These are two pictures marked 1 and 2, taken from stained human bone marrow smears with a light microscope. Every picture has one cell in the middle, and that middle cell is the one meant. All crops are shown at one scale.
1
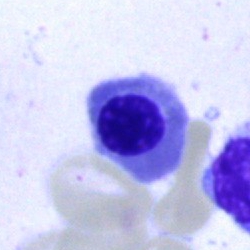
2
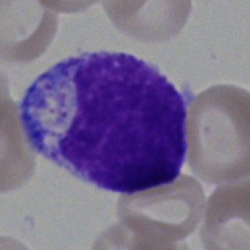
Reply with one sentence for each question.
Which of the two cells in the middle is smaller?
It is the cell in crop 1; the cell in crop 2 has about 2.5 times its area.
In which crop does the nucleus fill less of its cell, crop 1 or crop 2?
In crop 1 the nucleus takes up the smaller part of its cell.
